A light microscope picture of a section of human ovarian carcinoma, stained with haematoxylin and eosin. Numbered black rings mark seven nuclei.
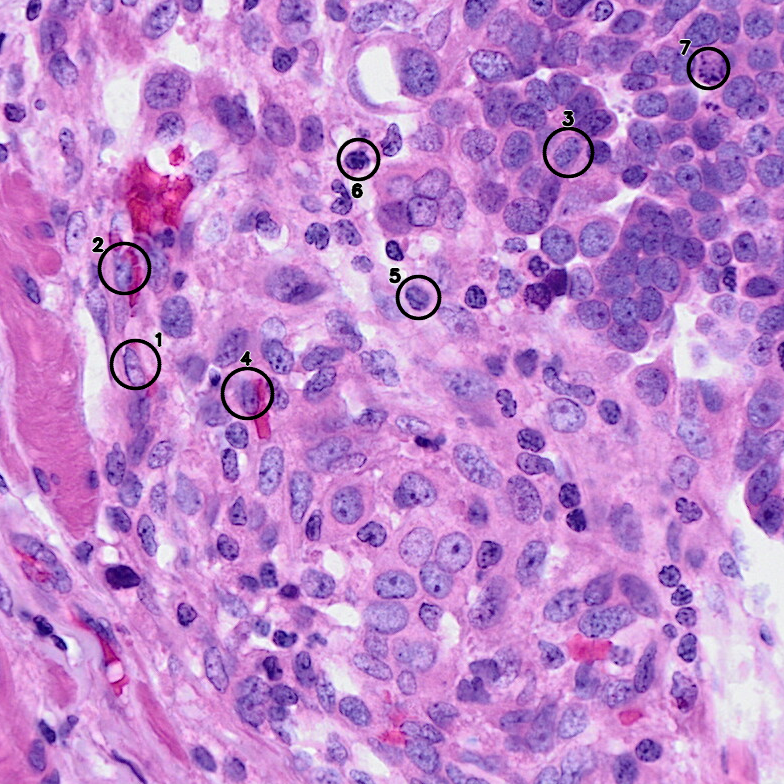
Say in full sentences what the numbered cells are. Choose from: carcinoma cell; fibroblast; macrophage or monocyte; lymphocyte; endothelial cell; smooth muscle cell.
Cell 1 is an endothelial cell, cell 2 is an endothelial cell, cell 3 is a carcinoma cell, cell 4 is an endothelial cell, cell 5 is a lymphocyte, cell 6 is a lymphocyte and cell 7 is a carcinoma cell.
